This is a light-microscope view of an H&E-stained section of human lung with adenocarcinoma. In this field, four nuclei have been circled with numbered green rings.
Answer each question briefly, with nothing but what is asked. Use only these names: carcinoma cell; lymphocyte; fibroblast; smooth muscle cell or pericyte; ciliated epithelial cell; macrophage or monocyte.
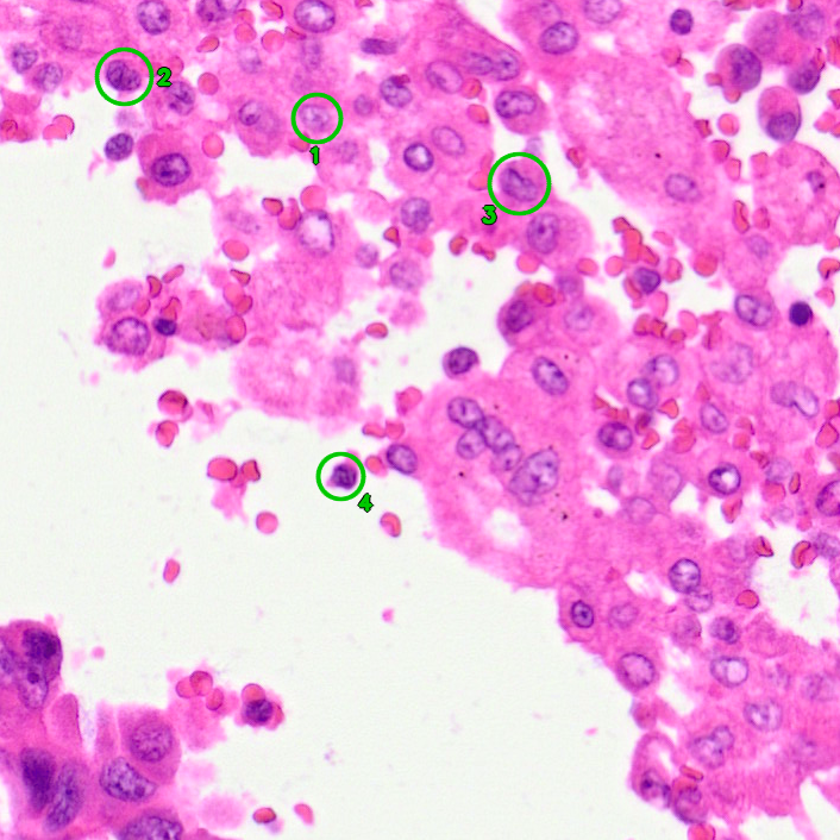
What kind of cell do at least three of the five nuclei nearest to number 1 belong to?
macrophage or monocyte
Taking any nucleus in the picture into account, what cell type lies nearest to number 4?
macrophage or monocyte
